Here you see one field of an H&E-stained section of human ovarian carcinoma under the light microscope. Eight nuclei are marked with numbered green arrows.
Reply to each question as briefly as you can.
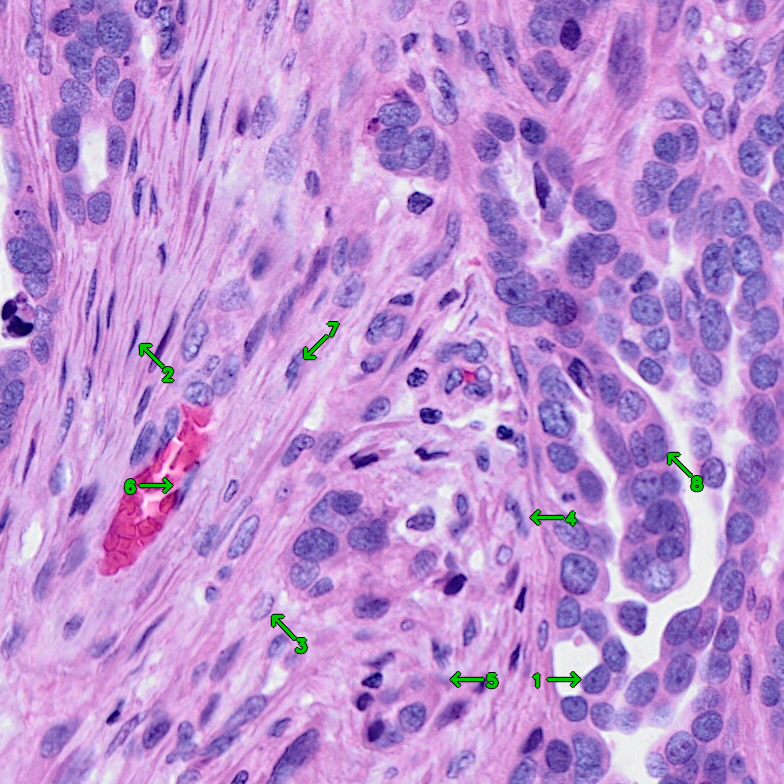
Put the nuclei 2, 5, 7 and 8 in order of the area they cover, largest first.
8, 7, 2, 5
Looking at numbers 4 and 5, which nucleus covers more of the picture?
4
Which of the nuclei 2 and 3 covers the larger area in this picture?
3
